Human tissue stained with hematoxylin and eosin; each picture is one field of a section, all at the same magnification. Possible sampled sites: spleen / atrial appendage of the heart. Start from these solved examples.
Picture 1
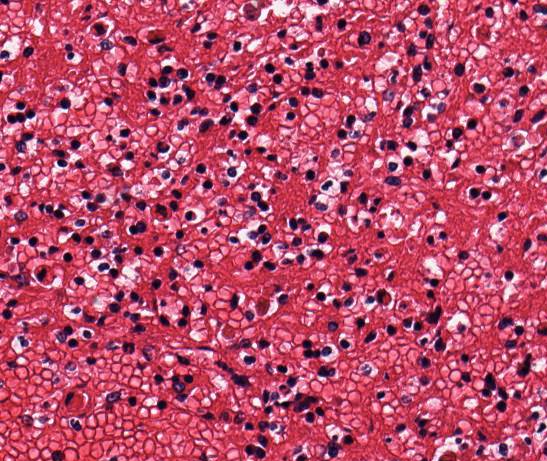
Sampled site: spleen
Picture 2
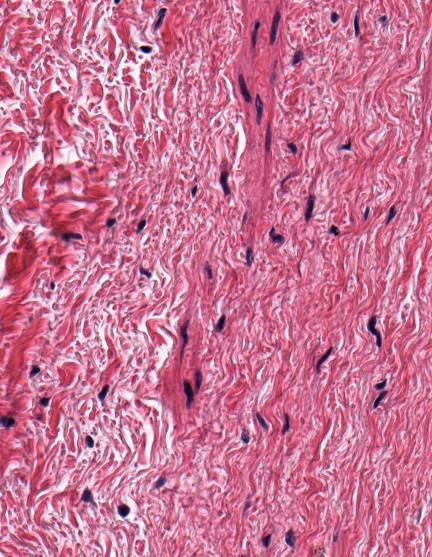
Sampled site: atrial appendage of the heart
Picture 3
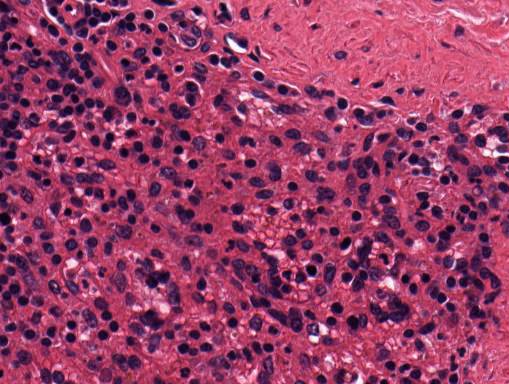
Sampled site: spleen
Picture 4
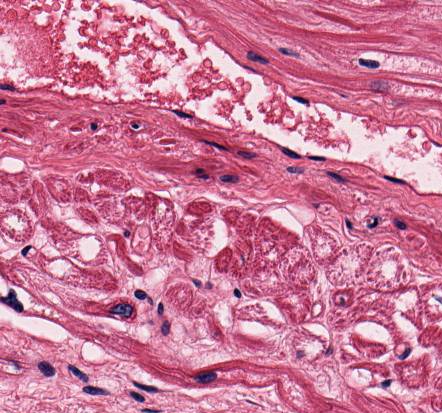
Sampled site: atrial appendage of the heart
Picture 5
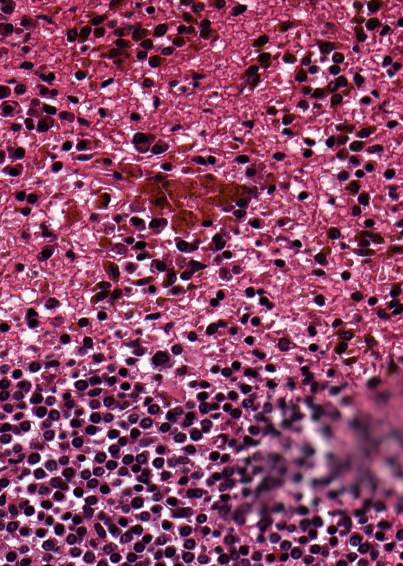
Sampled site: spleen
